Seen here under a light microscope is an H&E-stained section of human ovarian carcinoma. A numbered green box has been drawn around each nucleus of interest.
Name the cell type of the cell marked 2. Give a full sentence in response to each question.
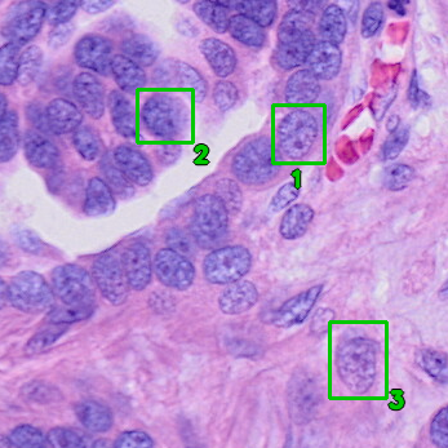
Denoted by the label 2 in the section is a carcinoma cell.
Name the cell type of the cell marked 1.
The cell given label 1 is a carcinoma cell.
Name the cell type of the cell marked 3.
Cell 3 is classified as a fibroblast.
